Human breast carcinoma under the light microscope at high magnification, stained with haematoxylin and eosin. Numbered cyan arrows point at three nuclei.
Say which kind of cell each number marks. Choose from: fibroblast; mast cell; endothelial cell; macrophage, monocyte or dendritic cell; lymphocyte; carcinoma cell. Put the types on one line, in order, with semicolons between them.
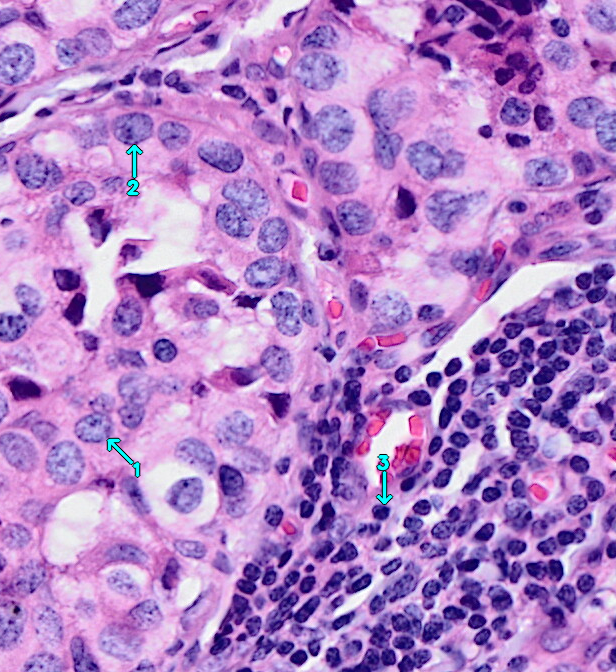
carcinoma cell; carcinoma cell; lymphocyte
